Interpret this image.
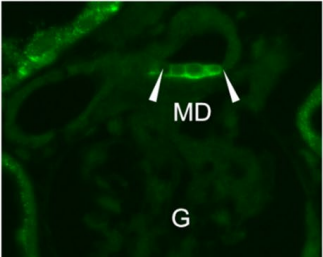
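Kidney cortex with a small tubule cut in cross-section lying on top of a glomerulus. Between the arrowheads, a short row of cells in the tubule wall that faces the glomerulus shows bright green signal, standing out from the rest of the same tubule wall, which is much dimmer. Neighbouring tubules at the edges of the field show weaker, grainy green staining in their cytoplasm.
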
